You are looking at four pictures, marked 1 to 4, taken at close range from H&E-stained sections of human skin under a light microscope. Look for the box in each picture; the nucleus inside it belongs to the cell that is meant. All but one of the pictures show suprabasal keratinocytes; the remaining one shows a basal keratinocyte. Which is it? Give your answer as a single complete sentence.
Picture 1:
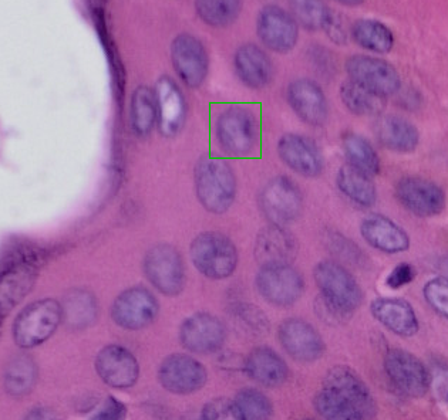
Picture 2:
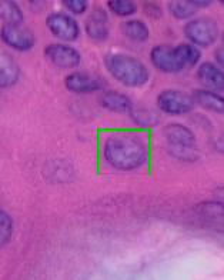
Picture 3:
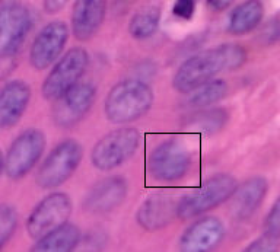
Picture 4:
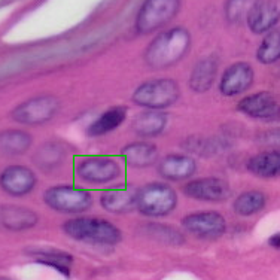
The picture with the basal keratinocyte is 3.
